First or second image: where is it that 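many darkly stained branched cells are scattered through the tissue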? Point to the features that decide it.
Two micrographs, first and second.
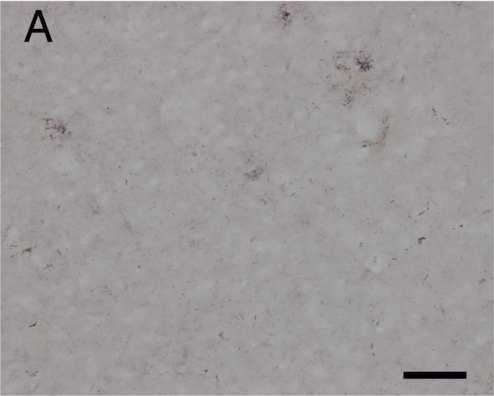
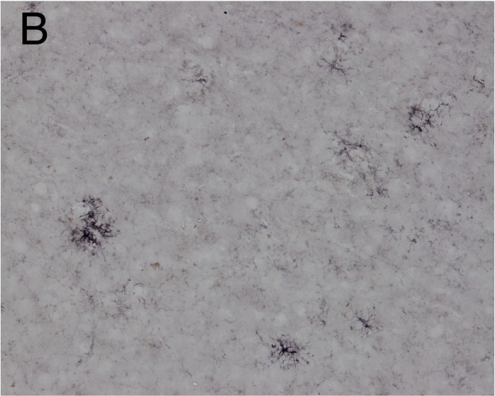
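The second image. Second image: several distinct dark, branched cells are spread across the field. First image: only a few faint, sparse stained profiles are visible.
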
